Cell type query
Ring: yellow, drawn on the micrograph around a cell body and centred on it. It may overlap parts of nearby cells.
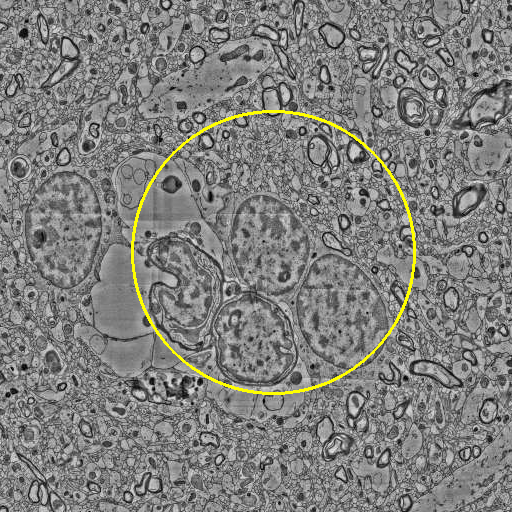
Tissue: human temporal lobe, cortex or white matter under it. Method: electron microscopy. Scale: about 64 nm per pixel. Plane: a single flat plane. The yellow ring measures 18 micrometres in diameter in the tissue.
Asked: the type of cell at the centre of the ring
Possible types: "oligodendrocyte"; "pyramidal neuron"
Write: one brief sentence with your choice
The ring marks an oligodendrocyte.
